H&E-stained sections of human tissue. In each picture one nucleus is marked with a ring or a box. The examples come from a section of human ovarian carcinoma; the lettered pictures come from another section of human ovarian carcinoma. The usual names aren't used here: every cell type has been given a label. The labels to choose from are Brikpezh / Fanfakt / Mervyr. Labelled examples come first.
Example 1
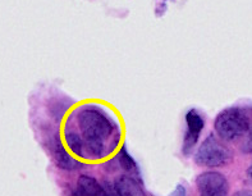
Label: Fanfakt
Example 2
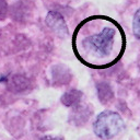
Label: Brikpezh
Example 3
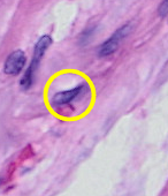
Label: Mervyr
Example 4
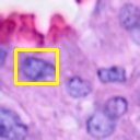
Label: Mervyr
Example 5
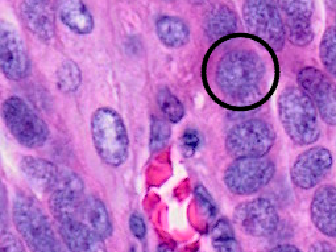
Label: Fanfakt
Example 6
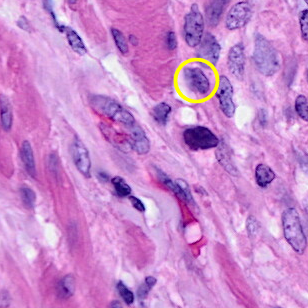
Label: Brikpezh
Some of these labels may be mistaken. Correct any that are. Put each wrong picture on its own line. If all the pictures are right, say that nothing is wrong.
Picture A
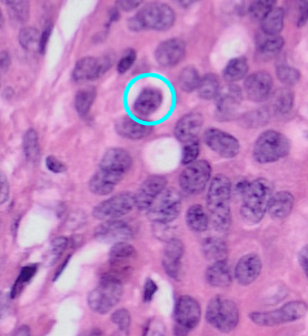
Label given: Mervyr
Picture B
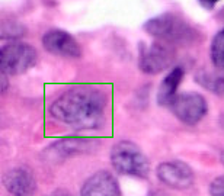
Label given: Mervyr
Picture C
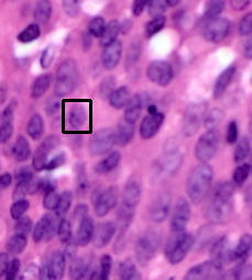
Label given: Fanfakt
A: Fanfakt, not Mervyr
